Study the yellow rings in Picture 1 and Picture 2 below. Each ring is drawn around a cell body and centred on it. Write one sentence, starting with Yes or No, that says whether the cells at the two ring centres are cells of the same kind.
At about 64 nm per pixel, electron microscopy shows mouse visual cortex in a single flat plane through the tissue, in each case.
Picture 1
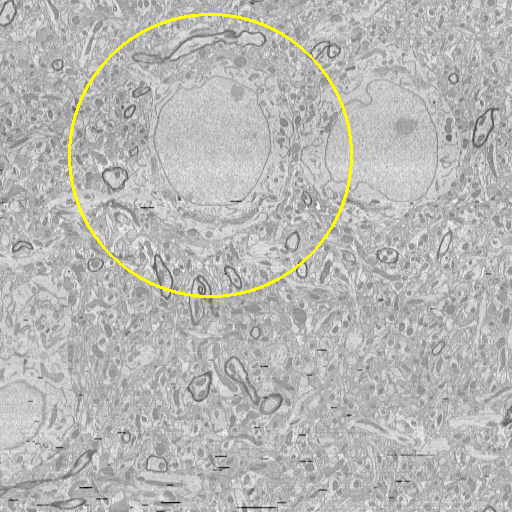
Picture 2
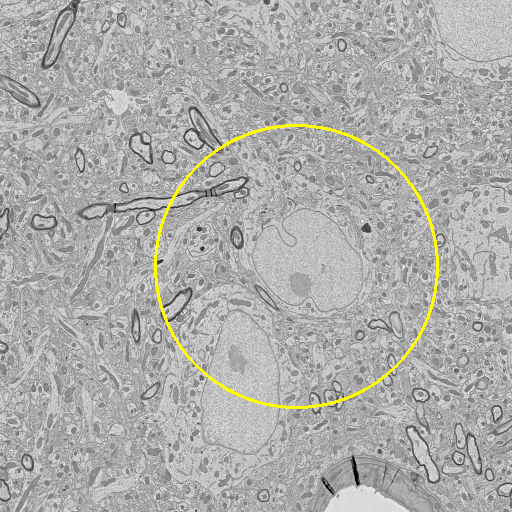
Yes, the cells at both ring centres are of the same kind.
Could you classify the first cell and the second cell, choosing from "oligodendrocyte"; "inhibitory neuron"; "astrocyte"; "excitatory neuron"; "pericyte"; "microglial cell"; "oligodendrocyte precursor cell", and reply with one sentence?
Each one of the two ringed cells is an excitatory neuron.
